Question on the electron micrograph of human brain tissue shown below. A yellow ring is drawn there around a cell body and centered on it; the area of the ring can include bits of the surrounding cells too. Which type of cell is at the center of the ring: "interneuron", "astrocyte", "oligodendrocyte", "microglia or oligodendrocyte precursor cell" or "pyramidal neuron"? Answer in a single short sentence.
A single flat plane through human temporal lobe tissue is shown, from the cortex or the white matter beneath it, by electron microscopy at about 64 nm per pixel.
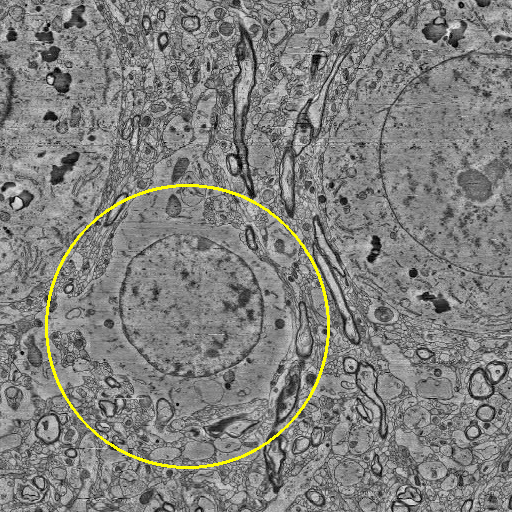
The ring is centered on an astrocyte.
